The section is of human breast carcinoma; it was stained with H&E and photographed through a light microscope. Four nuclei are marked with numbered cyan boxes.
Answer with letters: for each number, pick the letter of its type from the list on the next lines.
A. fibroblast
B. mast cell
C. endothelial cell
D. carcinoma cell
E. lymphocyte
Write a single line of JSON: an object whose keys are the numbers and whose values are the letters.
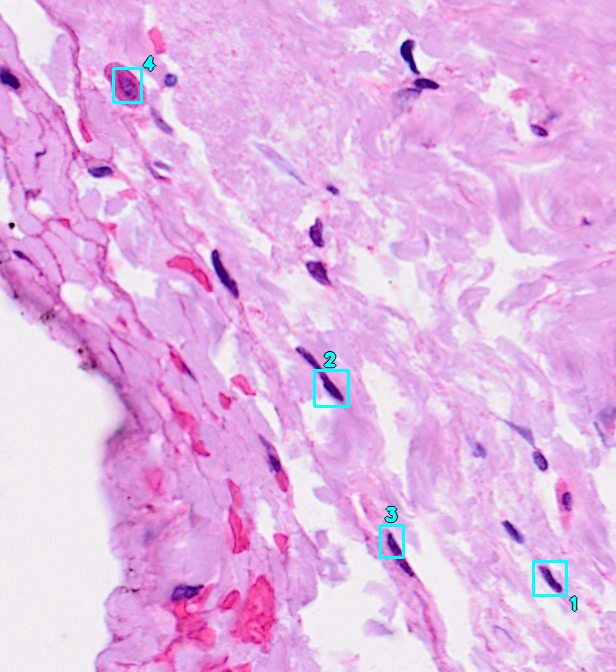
{"1": "A", "2": "A", "3": "A", "4": "B"}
